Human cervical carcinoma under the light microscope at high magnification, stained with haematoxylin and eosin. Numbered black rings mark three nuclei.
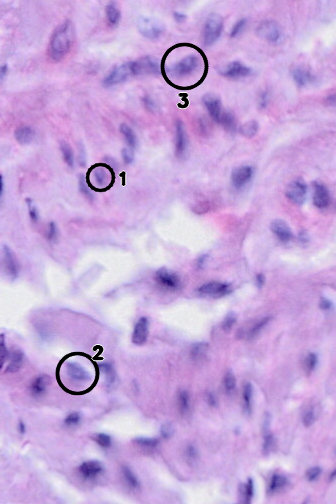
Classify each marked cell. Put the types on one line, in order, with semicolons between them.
smooth muscle cell; fibroblast; fibroblast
